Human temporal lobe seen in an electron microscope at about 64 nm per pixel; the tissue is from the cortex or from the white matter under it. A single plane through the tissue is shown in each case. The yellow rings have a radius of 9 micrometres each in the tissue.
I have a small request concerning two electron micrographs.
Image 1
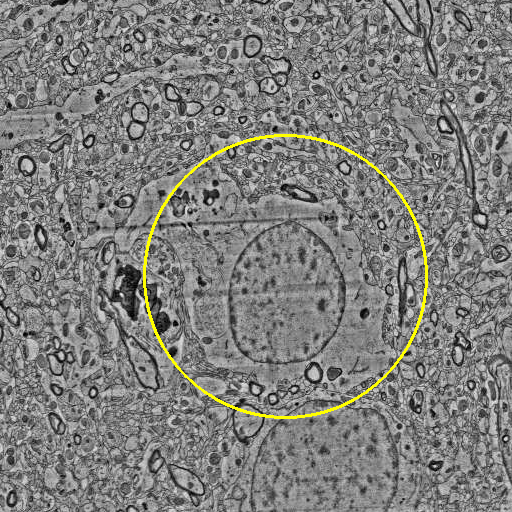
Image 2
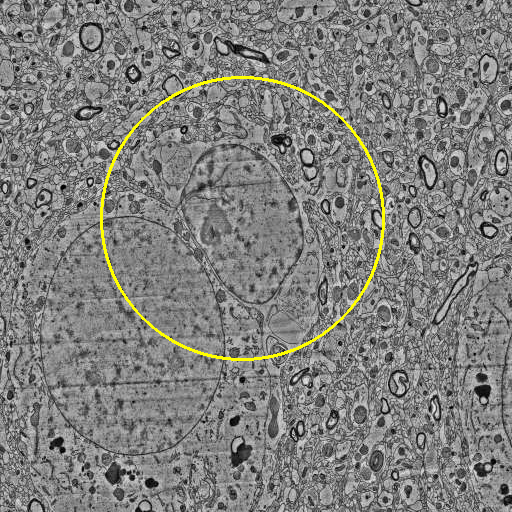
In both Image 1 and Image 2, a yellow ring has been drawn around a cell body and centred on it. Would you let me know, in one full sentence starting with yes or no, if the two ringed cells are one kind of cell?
Yes, the cells ringed in Image 1 and Image 2 are one kind of cell.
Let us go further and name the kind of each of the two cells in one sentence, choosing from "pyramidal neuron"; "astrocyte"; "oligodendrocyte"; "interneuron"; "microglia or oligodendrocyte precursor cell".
Both the first and the second picture show an astrocyte in the ring.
